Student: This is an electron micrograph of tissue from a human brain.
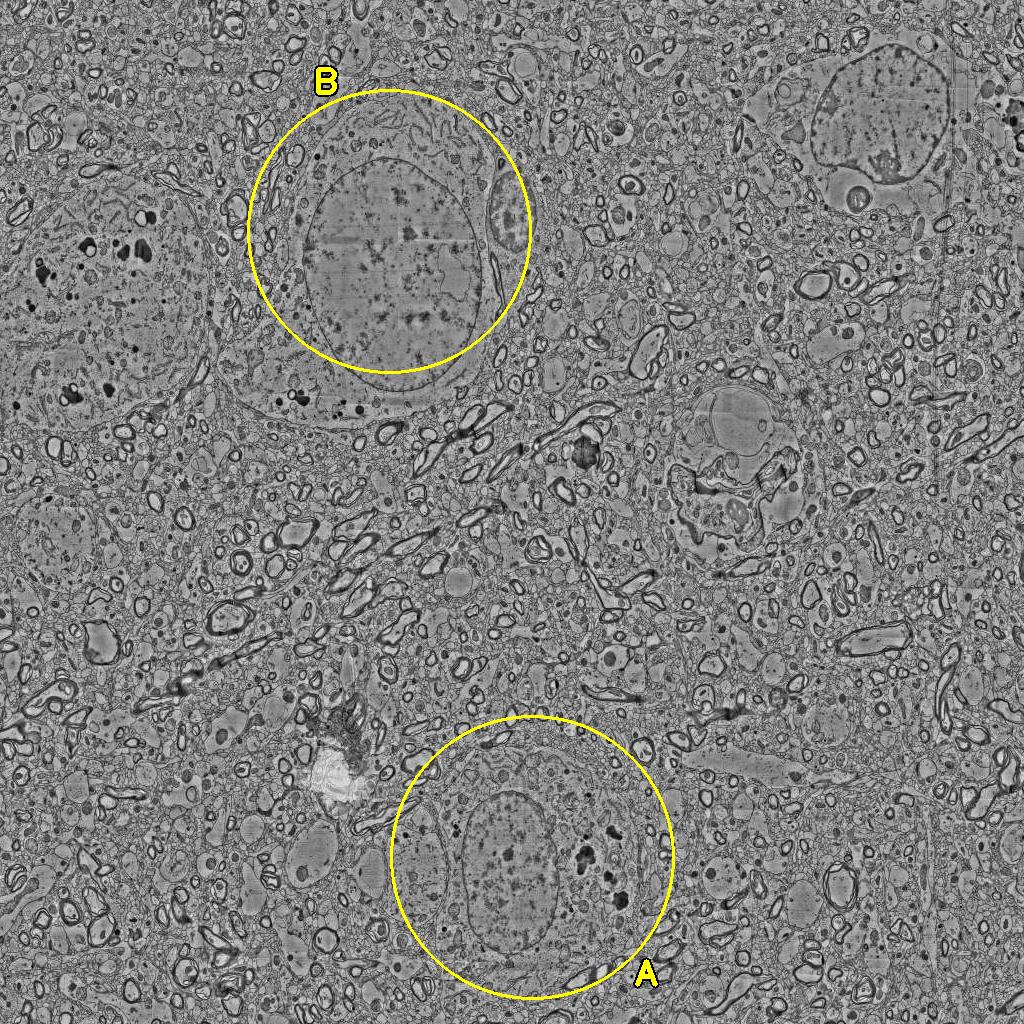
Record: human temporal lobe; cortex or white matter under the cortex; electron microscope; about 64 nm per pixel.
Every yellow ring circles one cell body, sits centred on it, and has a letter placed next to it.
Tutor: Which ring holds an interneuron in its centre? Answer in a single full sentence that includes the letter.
Ring A is the ring whose centre holds the cell asked for in the picture.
